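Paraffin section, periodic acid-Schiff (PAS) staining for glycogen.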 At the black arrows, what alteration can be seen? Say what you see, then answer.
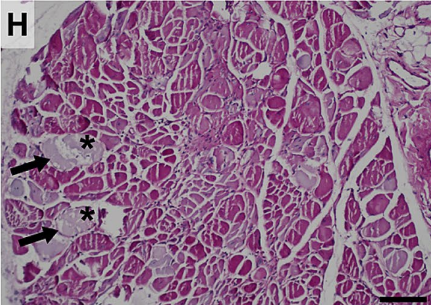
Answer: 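The arrows point to pale fibres at the left edge containing clear spaces. These fibres stand out against the deep magenta surrounding fibres.
Vacuoles/fragmentation.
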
